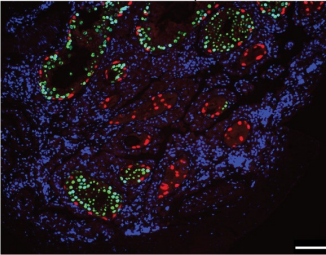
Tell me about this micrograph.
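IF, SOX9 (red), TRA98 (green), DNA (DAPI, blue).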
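This testis section shows small, irregular tubules set in an abundant field of blue-nuclei interstitial tissue. Many other tubules hold only red nuclei, with no green cells around them. The tubules vary in size and outline, and the normal tight packing of tubules is lost.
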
